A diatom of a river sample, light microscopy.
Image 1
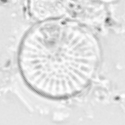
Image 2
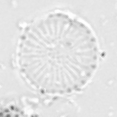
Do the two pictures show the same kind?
Yes, both are Stephanodiscus.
